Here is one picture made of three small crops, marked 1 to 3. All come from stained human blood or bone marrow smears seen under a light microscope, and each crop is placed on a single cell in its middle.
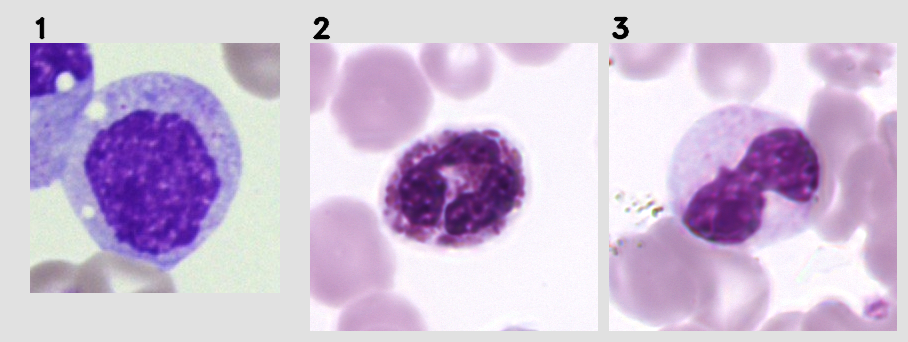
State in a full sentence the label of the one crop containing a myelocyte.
Crop 1 is the one in this set that shows a myelocyte.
